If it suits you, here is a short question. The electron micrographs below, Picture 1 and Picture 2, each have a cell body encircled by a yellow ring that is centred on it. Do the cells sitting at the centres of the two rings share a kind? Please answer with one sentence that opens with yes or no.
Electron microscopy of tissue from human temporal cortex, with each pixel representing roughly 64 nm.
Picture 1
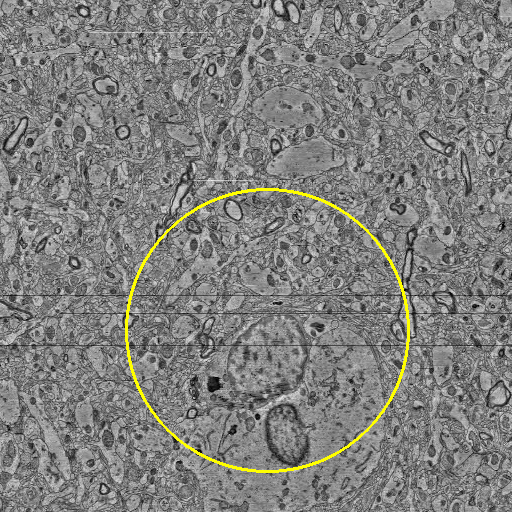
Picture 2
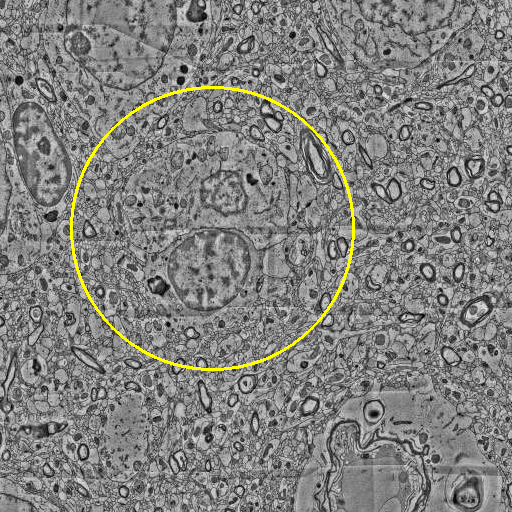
Yes, the two cells sitting at the ring centres share a single kind.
